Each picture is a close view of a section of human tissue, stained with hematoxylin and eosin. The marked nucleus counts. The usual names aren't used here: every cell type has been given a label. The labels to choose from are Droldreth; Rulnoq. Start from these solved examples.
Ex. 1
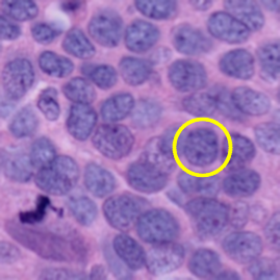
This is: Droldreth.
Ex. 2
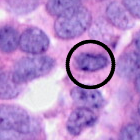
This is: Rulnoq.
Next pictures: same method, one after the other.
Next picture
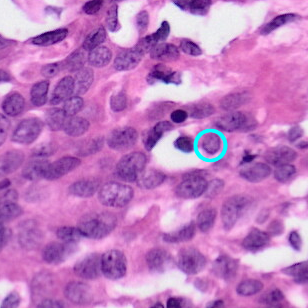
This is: Rulnoq.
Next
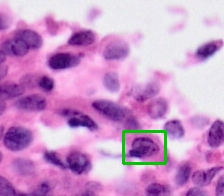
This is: Rulnoq.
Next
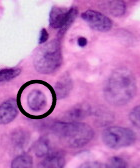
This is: Rulnoq.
